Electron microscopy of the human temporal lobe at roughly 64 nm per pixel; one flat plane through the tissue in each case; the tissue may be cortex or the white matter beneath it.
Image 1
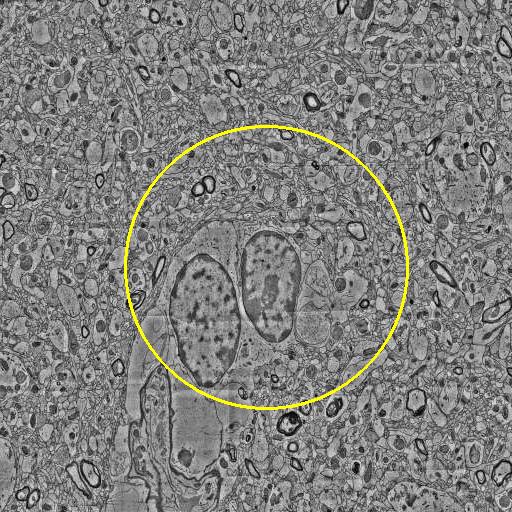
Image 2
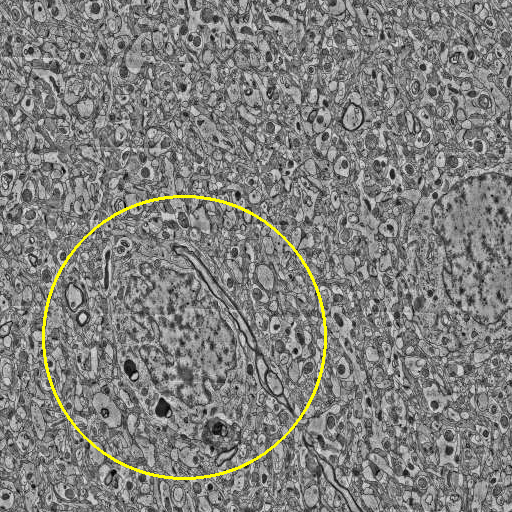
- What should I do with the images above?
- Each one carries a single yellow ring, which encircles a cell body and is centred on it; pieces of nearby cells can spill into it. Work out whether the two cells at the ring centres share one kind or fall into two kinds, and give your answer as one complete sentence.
The ring-centre cells of Image 1 and Image 2 fall into two kinds.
